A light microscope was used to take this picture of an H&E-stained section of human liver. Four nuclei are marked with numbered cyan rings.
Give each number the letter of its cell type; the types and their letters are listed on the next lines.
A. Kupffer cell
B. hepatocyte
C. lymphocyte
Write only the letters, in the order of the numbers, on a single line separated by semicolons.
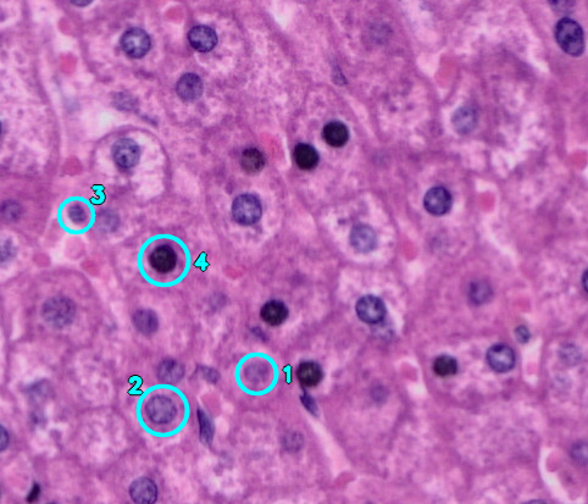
B; B; C; B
